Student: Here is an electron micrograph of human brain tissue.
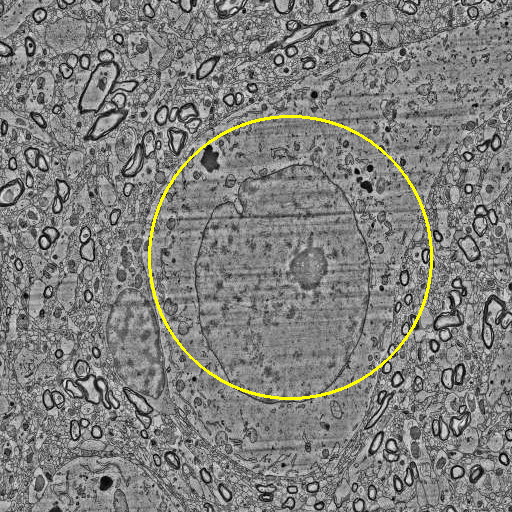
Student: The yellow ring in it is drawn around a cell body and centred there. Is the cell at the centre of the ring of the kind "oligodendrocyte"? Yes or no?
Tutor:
no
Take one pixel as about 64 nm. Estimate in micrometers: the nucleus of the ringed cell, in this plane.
In this plane, roughly 15 by 11 micrometres.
